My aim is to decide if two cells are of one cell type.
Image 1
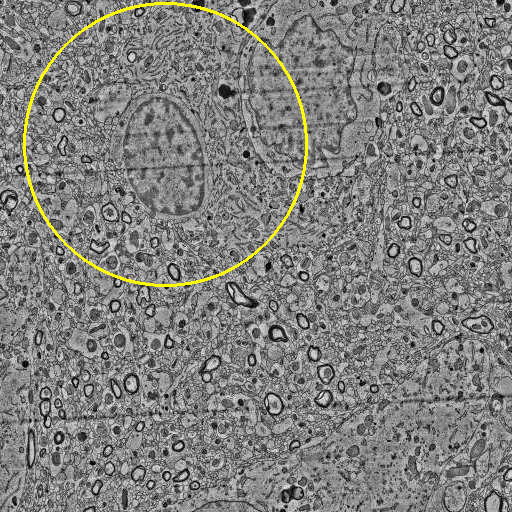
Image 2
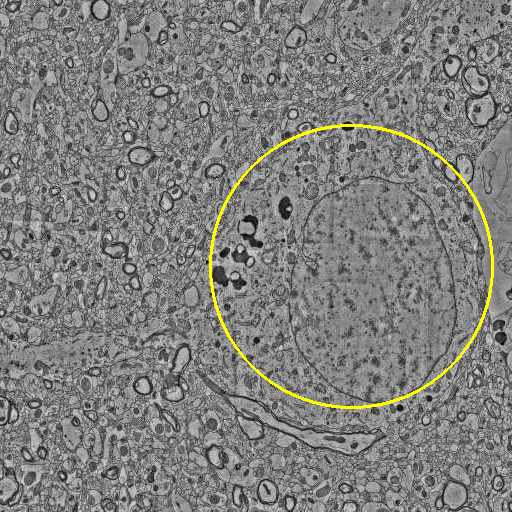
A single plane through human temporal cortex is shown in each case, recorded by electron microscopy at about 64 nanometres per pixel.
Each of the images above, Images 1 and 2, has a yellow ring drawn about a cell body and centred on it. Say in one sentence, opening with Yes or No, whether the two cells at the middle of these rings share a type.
No, in Images 1 and 2 the cells at the middle of the rings fall into two types.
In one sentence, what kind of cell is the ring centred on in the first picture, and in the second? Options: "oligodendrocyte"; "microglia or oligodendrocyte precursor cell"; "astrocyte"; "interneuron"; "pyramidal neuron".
The cell at the centre of the second ring is a pyramidal neuron; the first ring's cell is an oligodendrocyte.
